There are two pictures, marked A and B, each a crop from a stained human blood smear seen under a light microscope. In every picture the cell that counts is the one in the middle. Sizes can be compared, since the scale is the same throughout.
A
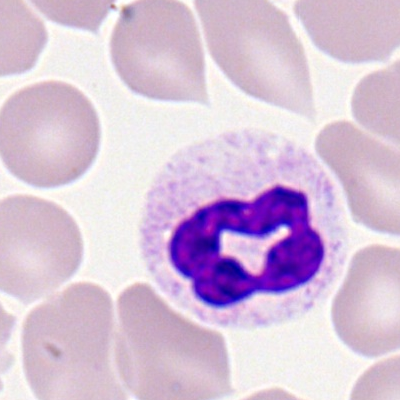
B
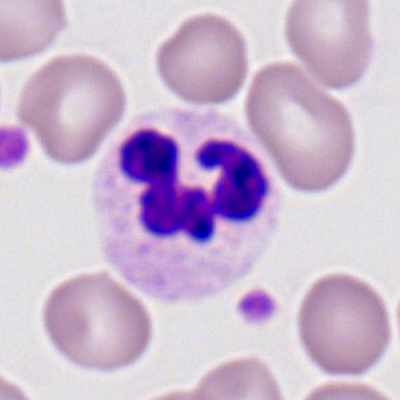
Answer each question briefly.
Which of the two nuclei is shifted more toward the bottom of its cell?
A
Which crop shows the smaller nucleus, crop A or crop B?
B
